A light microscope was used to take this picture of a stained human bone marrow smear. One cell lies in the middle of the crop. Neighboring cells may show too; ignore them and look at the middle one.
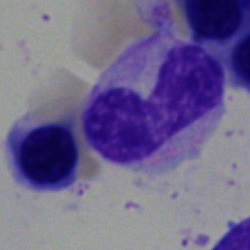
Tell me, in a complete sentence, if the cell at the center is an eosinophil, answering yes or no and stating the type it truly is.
No, a band neutrophil, not an eosinophil, is what sits in the centre of the crop.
